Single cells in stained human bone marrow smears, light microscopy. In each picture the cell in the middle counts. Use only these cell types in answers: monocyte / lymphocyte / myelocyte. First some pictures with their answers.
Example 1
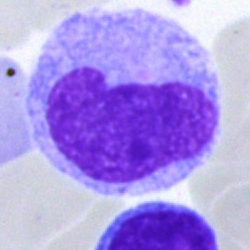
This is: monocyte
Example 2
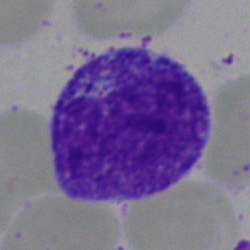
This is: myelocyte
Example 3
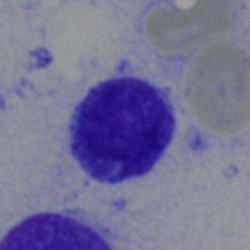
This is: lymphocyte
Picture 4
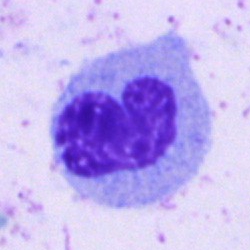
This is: monocyte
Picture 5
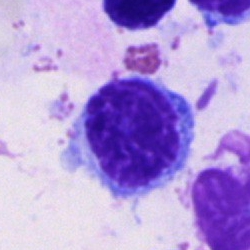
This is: lymphocyte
